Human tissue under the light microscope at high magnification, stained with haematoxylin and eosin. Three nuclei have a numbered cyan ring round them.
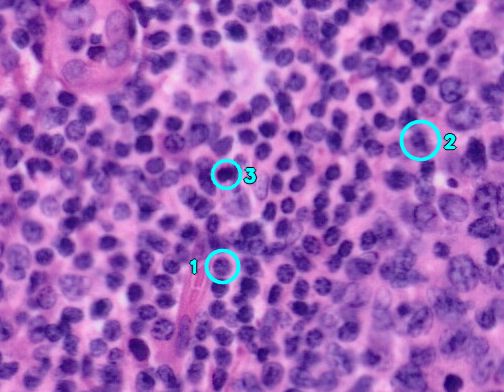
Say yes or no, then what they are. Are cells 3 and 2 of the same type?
No, cell 3 is a small lymphocyte; as for cell 2, that one is a proliferating B cell.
